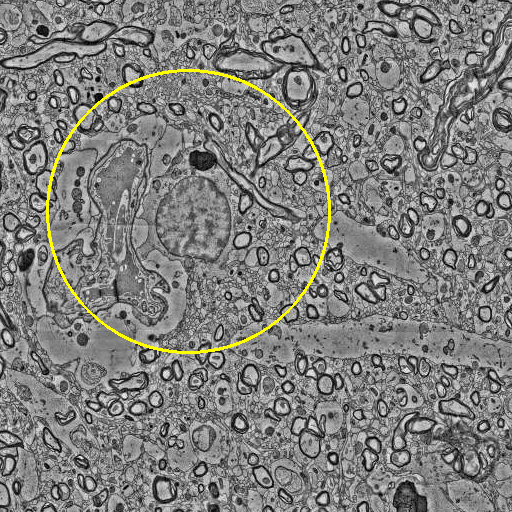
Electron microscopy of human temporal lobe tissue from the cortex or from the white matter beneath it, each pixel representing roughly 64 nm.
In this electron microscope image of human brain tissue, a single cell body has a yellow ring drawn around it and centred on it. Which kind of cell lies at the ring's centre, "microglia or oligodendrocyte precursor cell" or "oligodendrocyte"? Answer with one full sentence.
It is an oligodendrocyte whose cell body lies at the centre of the yellow ring here.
